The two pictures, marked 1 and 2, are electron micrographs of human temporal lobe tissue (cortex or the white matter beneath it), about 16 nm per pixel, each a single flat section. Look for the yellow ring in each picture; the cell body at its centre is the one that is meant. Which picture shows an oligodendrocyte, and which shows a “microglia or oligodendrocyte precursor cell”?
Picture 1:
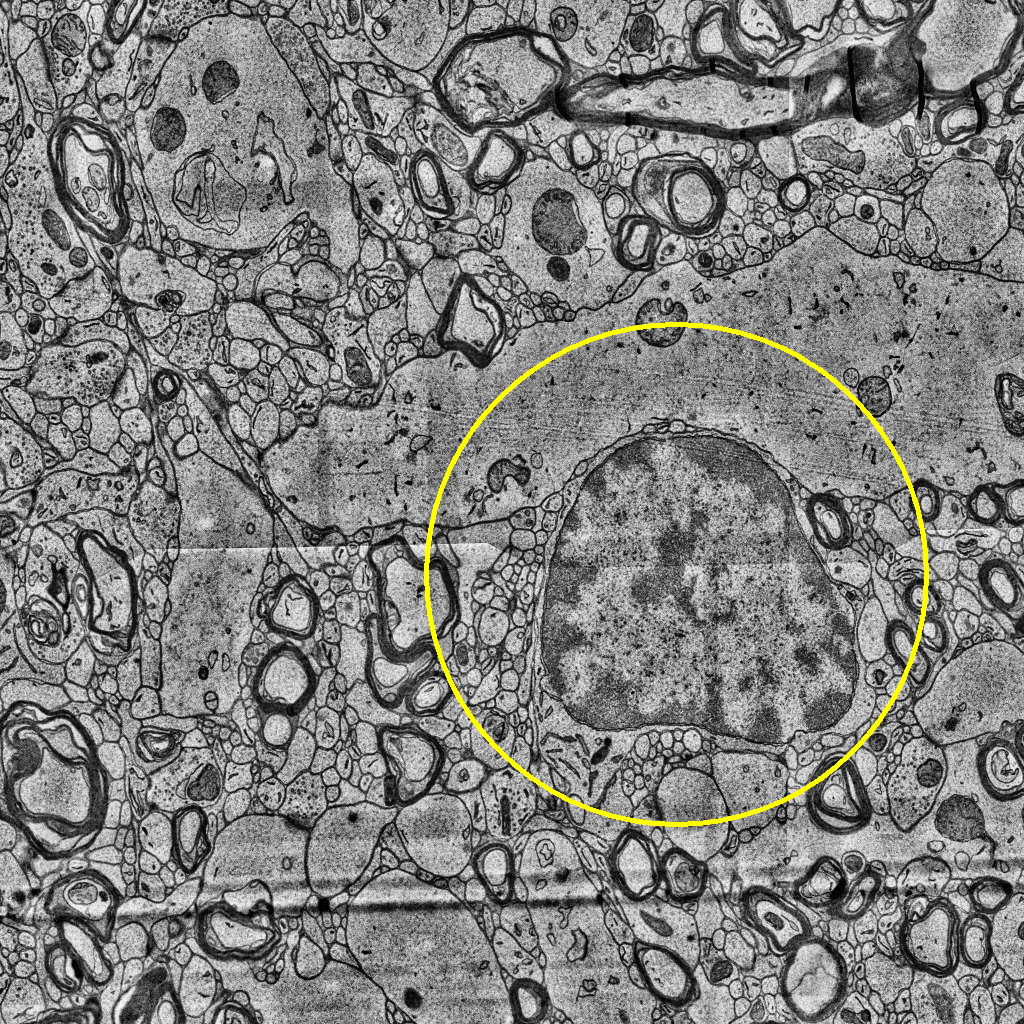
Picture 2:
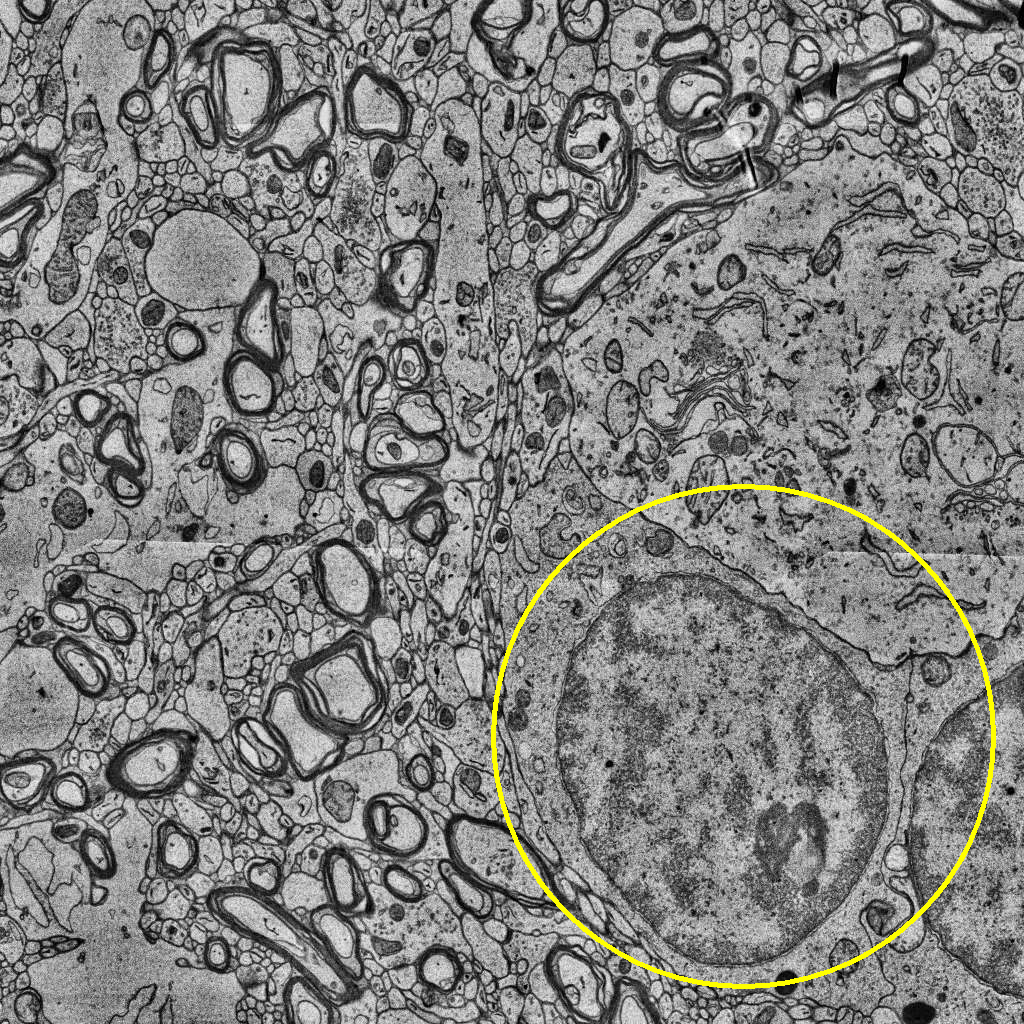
Picture 2 shows an oligodendrocyte, while picture 1 shows a “microglia or oligodendrocyte precursor cell”.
